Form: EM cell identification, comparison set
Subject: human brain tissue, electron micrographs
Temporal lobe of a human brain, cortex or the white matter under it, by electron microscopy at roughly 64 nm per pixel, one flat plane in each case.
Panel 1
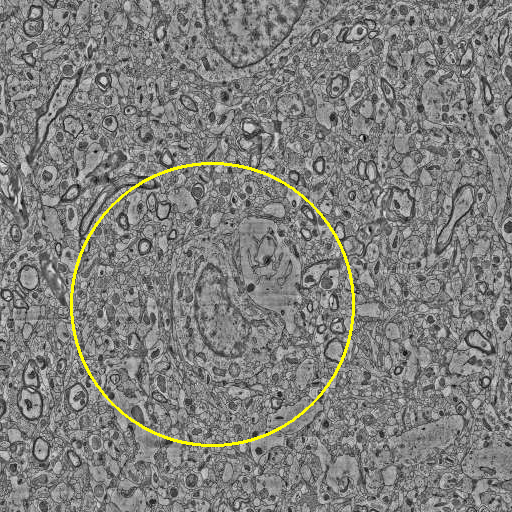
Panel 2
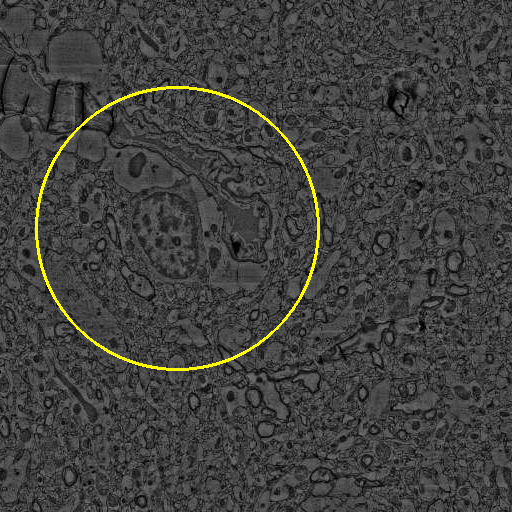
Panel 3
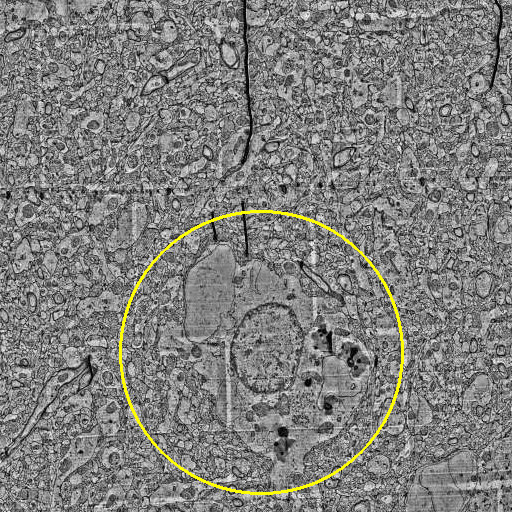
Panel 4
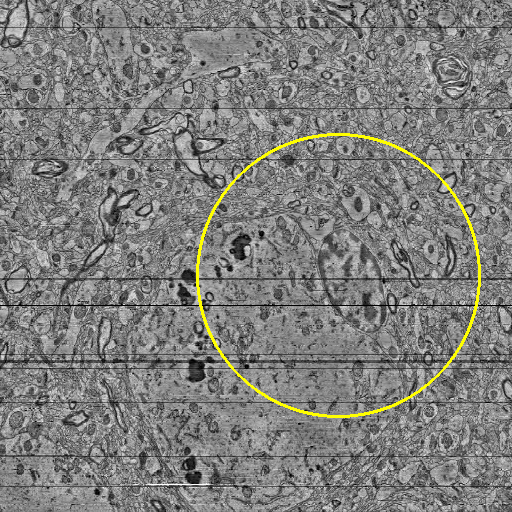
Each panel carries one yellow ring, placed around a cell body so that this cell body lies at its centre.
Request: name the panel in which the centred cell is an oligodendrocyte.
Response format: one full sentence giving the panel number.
Panel 2 has it at the centre of its ring.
